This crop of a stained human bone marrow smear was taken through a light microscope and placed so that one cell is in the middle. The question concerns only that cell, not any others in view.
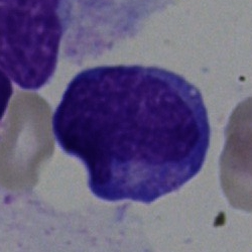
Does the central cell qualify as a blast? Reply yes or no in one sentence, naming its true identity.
Yes, the cell found at the centre of the crop is a blast.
